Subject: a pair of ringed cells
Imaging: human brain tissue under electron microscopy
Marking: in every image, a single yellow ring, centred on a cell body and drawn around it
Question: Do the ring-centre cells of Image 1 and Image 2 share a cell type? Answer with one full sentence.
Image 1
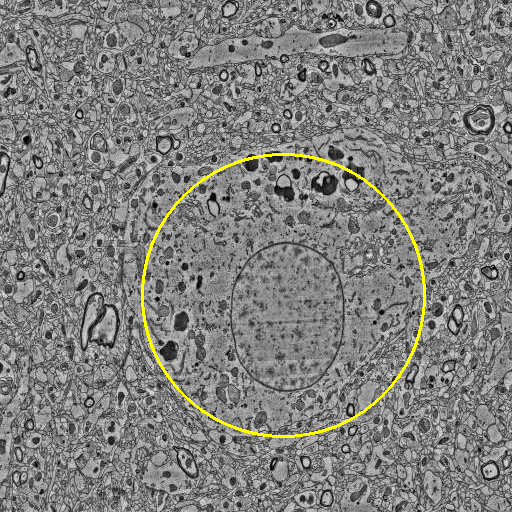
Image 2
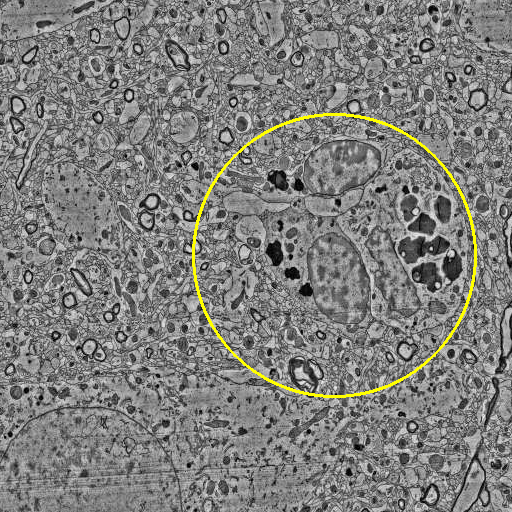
No, at the ring centres in the images sit cells of two separate types.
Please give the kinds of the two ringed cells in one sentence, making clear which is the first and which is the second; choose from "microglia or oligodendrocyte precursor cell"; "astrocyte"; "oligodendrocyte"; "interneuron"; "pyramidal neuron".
In the second picture the ringed cell is an oligodendrocyte; in the first it is a pyramidal neuron.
